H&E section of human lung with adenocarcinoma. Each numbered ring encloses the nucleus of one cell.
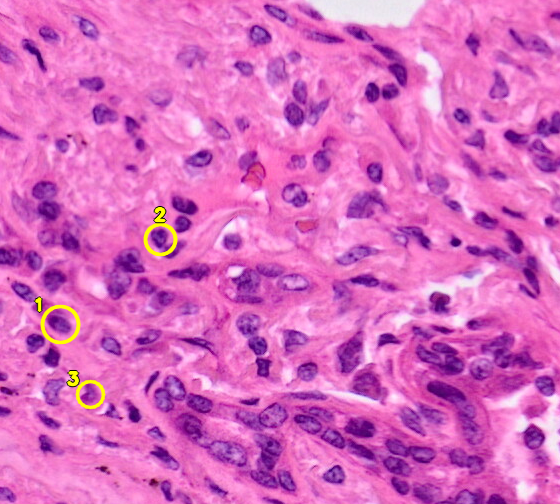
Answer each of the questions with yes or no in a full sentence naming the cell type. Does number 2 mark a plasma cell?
No, cell 2 is not a plasma cell; a lymphocyte is correct.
